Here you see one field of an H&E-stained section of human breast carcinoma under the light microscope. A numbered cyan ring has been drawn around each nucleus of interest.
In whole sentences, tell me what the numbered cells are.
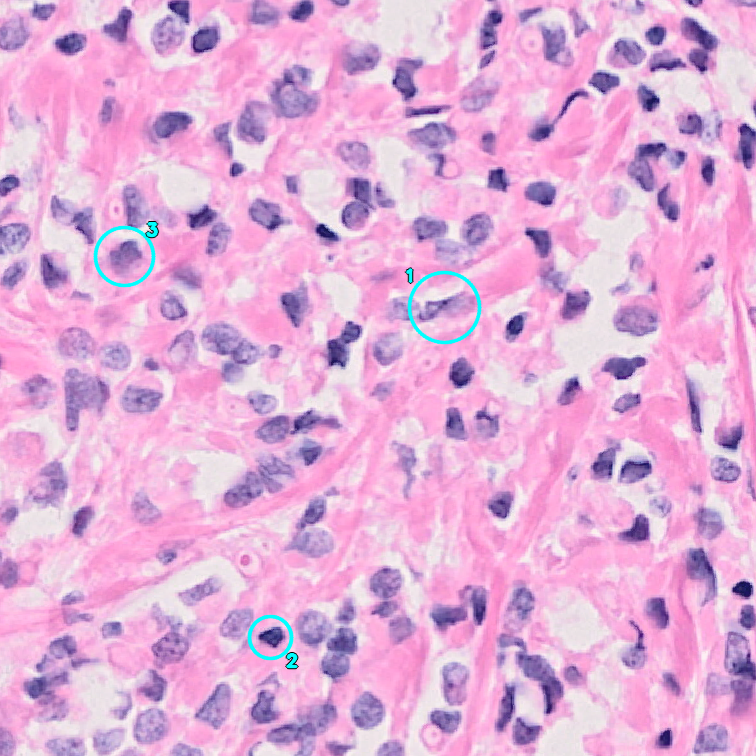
Cell 1 is a fibroblast. Cell 2 is a lymphocyte. Cell 3 is a carcinoma cell.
